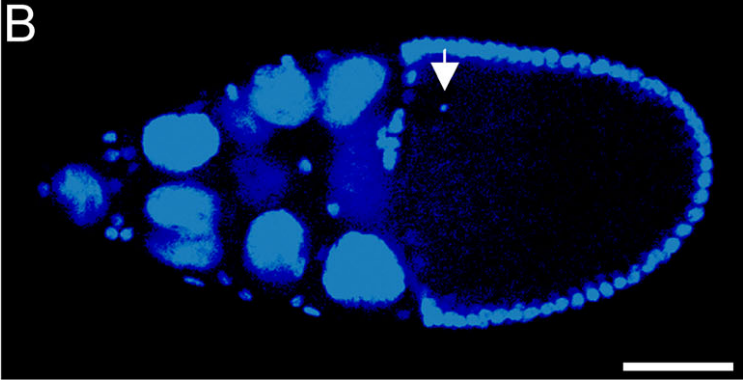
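This is an oval egg chamber with its nuclei shown in blue, with a group of large rounded nuclei at the left and one large cell with sparse cytoplasmic staining filling the right half. A single continuous layer of small oval nuclei lines the right half around the large cell, while only a few scattered small nuclei lie over the left part. Inside the large cell a tiny dot sits near its upper left edge, far smaller than the surrounding nuclei.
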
